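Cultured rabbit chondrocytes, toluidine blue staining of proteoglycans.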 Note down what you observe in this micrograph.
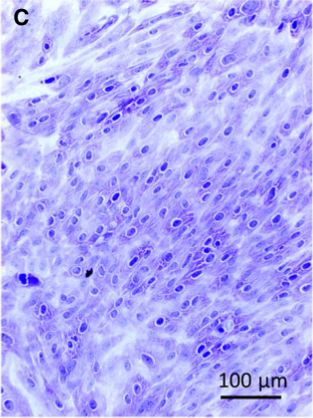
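The cells are packed closely together, most of them polygonal to short spindle-shaped, lying roughly aligned in broad streams. Each has an oval nucleus that stains dark blue-purple. The cytoplasm and the material between the cells take up a lighter violet-blue colour throughout, so that the whole layer is tinted.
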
